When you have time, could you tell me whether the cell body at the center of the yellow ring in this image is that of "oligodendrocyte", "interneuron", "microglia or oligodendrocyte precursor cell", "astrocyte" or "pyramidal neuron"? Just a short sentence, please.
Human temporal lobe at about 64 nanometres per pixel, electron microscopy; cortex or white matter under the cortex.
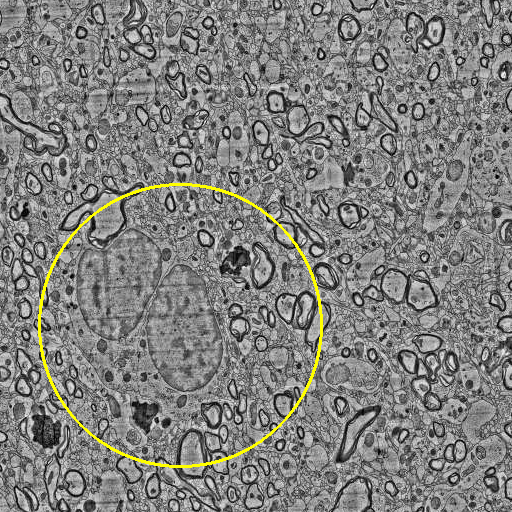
The cell body at the center of the ring is that of an oligodendrocyte.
